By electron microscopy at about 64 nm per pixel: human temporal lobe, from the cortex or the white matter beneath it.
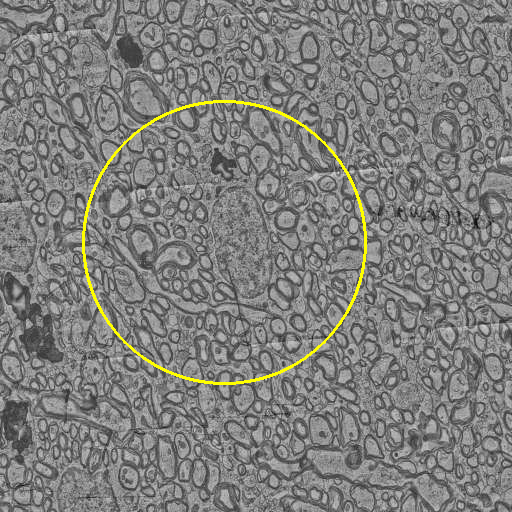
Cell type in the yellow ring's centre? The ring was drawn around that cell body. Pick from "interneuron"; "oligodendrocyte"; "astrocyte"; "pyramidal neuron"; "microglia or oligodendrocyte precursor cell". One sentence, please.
The ringed cell body is that of an oligodendrocyte.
